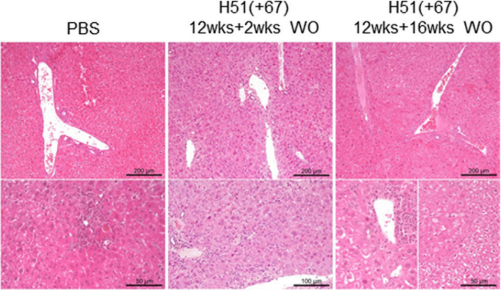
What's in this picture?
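Liver parenchyma stained with hematoxylin and eosin, made of cords of polygonal hepatocytes with pink cytoplasm and round, dark-purple nuclei, arranged around large thin-walled veins with empty white lumens. In the lower, higher-magnification images the hepatocytes vary in size and in how pale or clear their cytoplasm looks, and scattered small dark nuclei lie between the cords.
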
